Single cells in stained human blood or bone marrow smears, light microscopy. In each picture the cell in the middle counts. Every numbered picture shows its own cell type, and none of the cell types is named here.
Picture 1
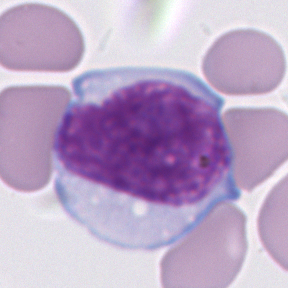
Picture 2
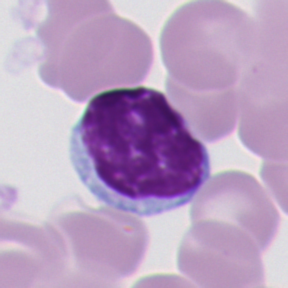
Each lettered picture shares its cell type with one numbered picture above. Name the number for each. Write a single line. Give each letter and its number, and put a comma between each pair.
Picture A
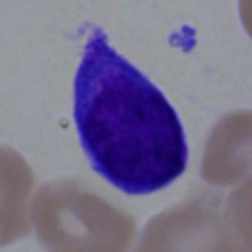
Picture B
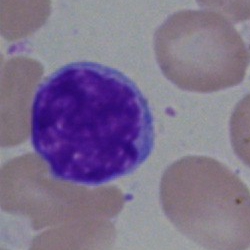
A 1, B 2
